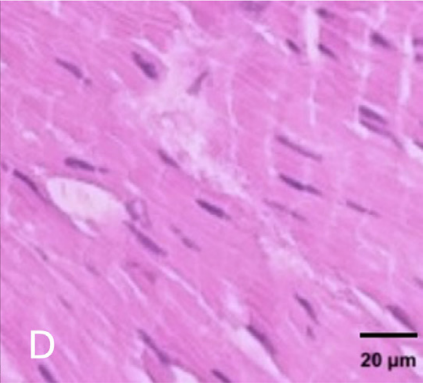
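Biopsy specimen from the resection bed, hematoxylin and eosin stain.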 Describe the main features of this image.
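This section shows smooth muscle made of elongated spindle-shaped cells arranged in parallel bundles running diagonally across the field. Each cell has a single elongated, cigar-shaped dark purple nucleus lying centrally within pink, finely fibrillar cytoplasm. No cross-striations are seen, and the cell borders are indistinct where the fibers pack closely. Paler, looser areas lie between some of the bundles.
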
